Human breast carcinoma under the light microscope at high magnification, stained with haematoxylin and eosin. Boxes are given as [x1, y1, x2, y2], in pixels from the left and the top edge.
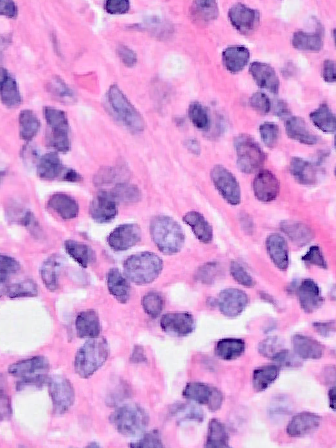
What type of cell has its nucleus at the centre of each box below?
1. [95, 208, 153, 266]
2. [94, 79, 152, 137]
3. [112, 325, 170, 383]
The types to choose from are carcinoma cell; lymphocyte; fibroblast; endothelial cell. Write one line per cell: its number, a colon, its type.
1: carcinoma cell
2: endothelial cell
3: carcinoma cell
